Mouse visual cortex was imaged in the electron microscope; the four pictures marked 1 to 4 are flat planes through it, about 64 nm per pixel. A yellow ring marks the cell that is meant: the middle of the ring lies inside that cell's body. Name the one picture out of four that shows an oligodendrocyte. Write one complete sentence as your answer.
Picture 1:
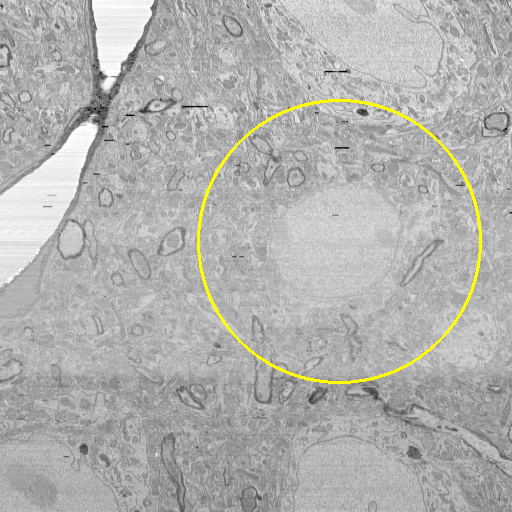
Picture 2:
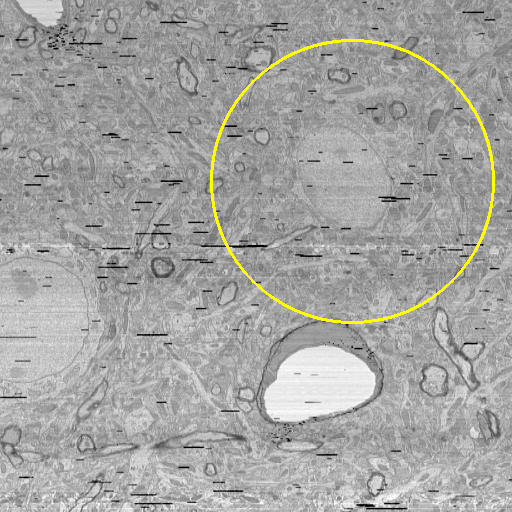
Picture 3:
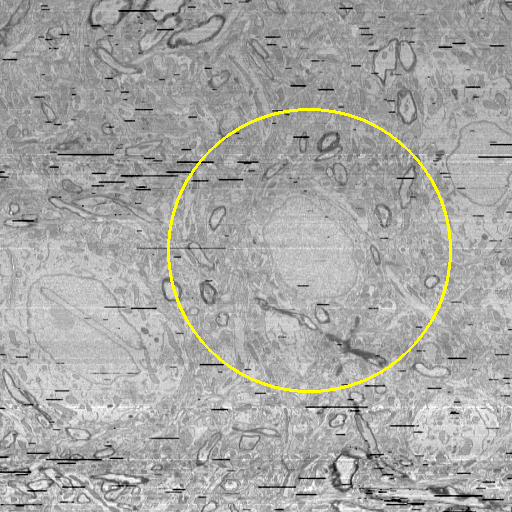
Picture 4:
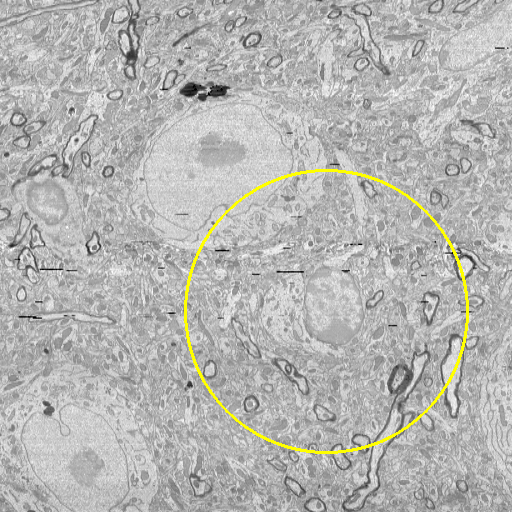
The cell in picture 4 is the oligodendrocyte.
